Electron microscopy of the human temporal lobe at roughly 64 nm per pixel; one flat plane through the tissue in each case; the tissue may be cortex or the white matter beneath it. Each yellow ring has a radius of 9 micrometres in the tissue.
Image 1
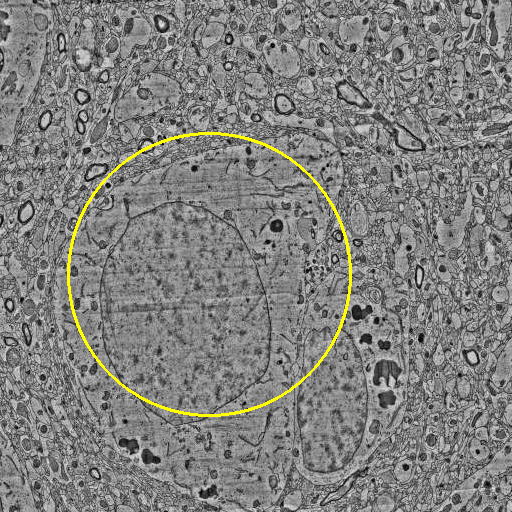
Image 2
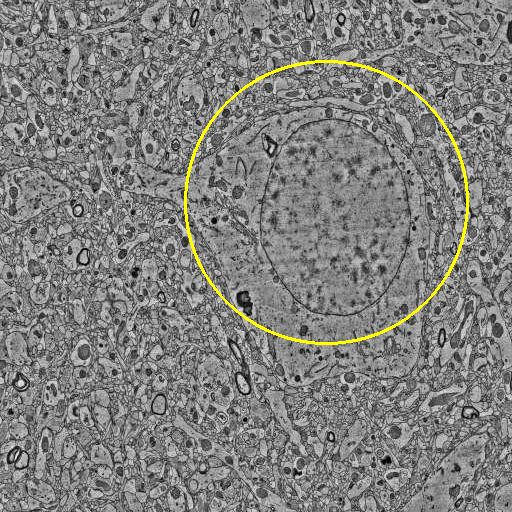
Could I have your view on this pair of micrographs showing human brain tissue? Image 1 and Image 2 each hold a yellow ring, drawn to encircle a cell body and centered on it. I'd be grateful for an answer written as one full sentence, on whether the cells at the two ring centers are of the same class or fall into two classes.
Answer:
The cells at the centers of the two rings are of the same class.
